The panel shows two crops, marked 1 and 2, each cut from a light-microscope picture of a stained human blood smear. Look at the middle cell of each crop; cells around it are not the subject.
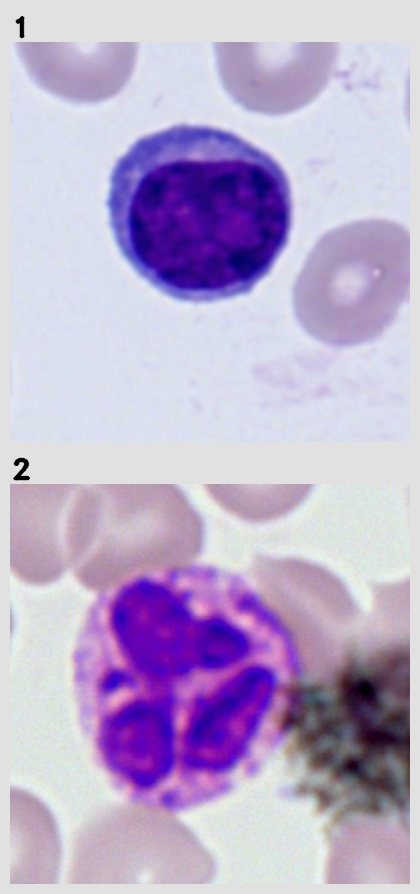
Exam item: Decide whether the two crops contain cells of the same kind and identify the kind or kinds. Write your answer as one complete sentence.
No, the central cell of crop 1 is a lymphocyte; that of crop 2 is a basophil.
